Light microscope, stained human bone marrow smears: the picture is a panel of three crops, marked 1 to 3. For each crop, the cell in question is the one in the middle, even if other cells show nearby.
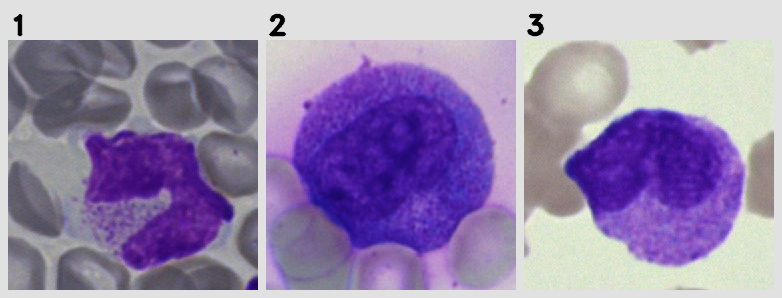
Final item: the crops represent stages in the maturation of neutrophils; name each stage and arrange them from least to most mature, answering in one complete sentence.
Counting from the least mature up to the most mature, the order is crop 2 (a promyelocyte), crop 3 (a metamyelocyte) and crop 1 (a band neutrophil).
